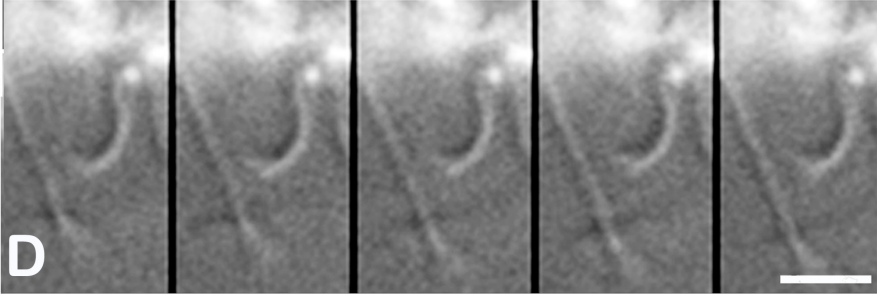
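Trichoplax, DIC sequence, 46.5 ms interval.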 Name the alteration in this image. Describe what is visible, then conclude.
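The curved hair-like strand keeps the same shape and position in all five frames. The bright dot near its tip stays in place from frame to frame. The answer: arrest of ciliary beat.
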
